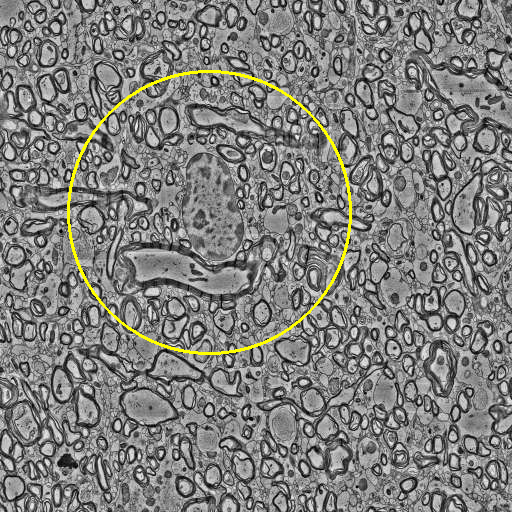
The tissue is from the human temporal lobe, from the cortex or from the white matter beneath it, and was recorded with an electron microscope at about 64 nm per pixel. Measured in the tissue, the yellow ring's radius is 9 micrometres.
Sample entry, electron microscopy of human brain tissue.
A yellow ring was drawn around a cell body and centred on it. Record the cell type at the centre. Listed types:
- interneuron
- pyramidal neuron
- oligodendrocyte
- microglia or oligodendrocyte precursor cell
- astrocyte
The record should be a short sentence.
The cell at the ring's centre is a microglial cell or oligodendrocyte precursor cell.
